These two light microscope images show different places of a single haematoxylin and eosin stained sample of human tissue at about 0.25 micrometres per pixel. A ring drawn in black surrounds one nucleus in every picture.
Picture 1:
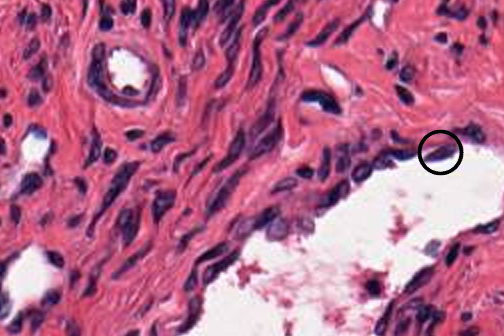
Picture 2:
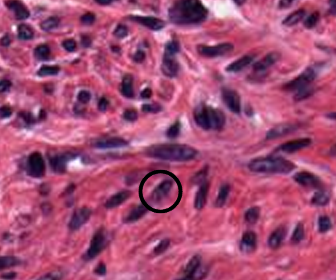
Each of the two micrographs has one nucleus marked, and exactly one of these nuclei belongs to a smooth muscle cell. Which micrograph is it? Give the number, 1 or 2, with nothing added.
2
